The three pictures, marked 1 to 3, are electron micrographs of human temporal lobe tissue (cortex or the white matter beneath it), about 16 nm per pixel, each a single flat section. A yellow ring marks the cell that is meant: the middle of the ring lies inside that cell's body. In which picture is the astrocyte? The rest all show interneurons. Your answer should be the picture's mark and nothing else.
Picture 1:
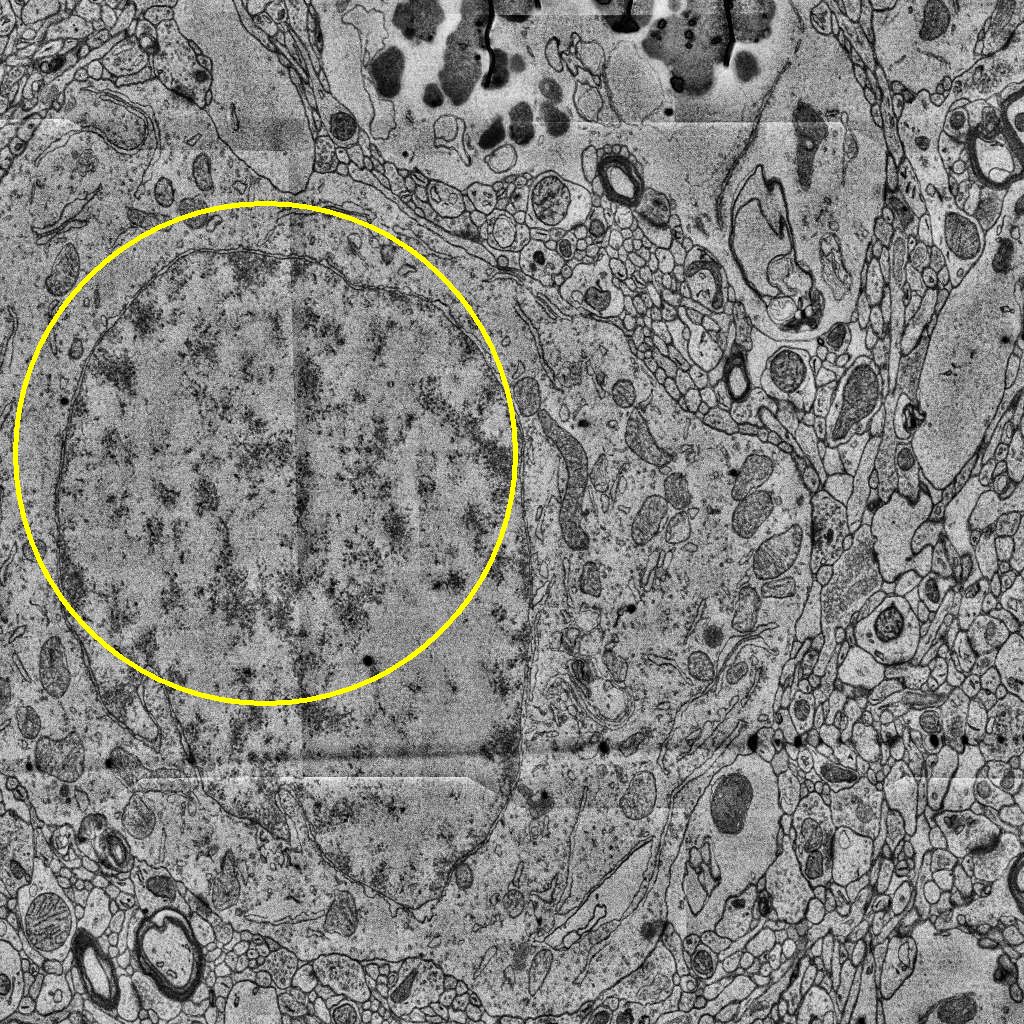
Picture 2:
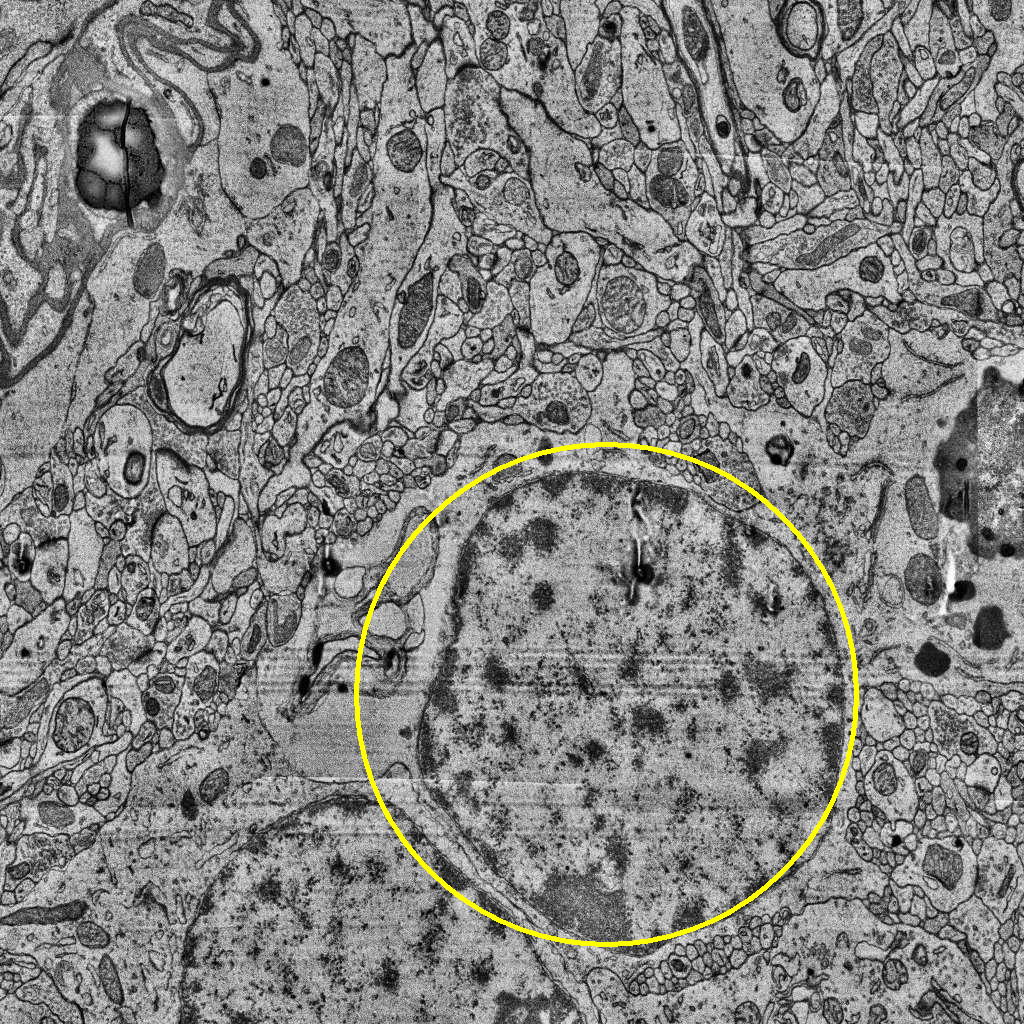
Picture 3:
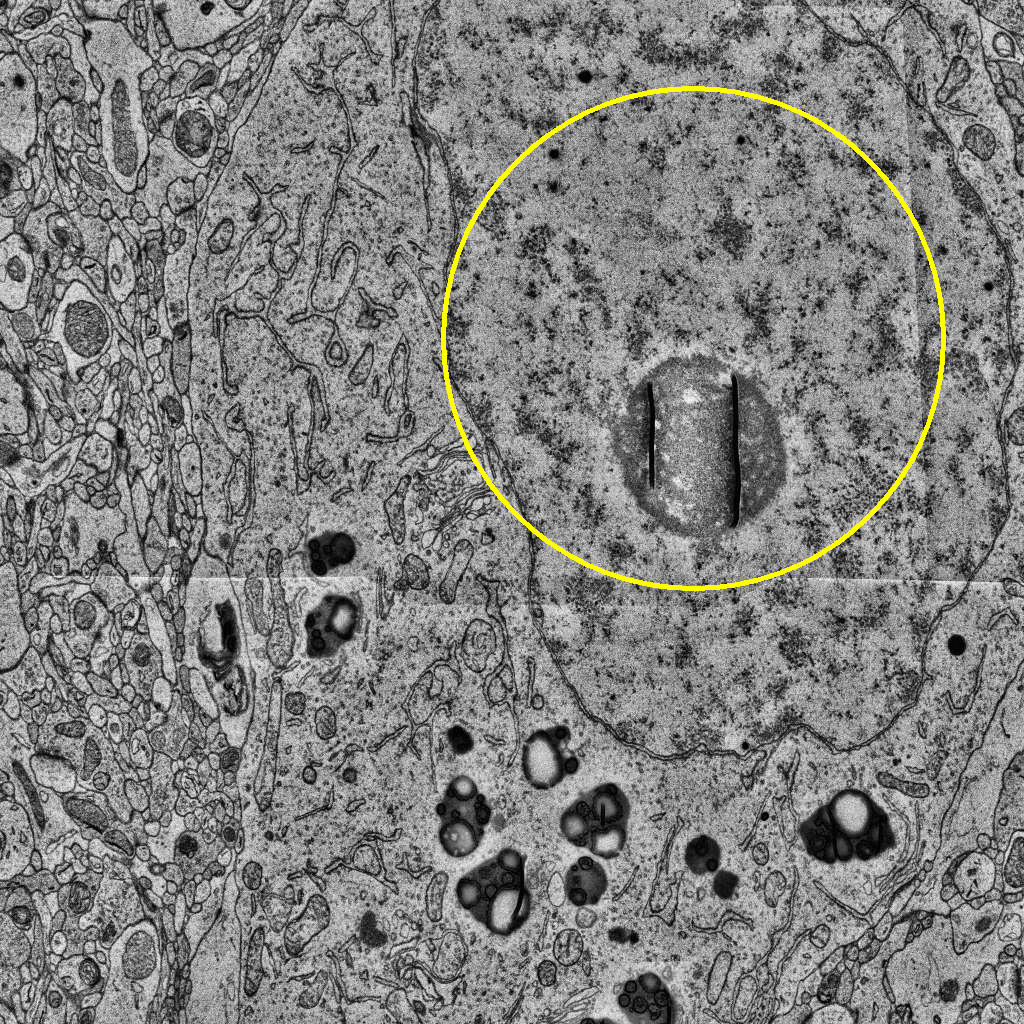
2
